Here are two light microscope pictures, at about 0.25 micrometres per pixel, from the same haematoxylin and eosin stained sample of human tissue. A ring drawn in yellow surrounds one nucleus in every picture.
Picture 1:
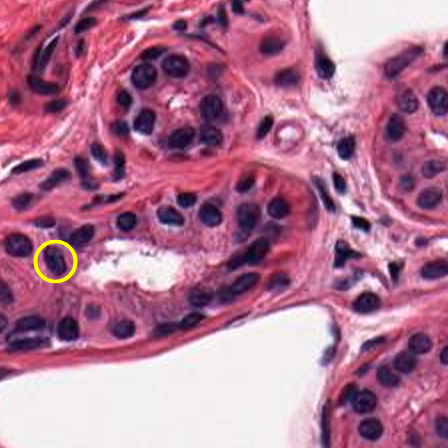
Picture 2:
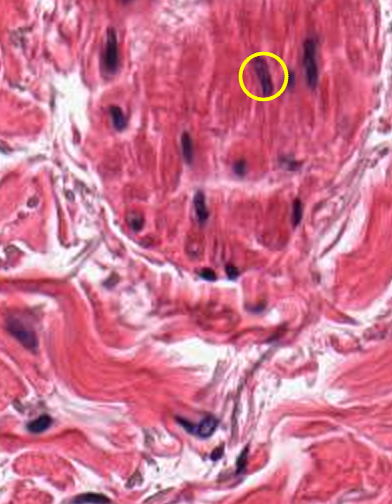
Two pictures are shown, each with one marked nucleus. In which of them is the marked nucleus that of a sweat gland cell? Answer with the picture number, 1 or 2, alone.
1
